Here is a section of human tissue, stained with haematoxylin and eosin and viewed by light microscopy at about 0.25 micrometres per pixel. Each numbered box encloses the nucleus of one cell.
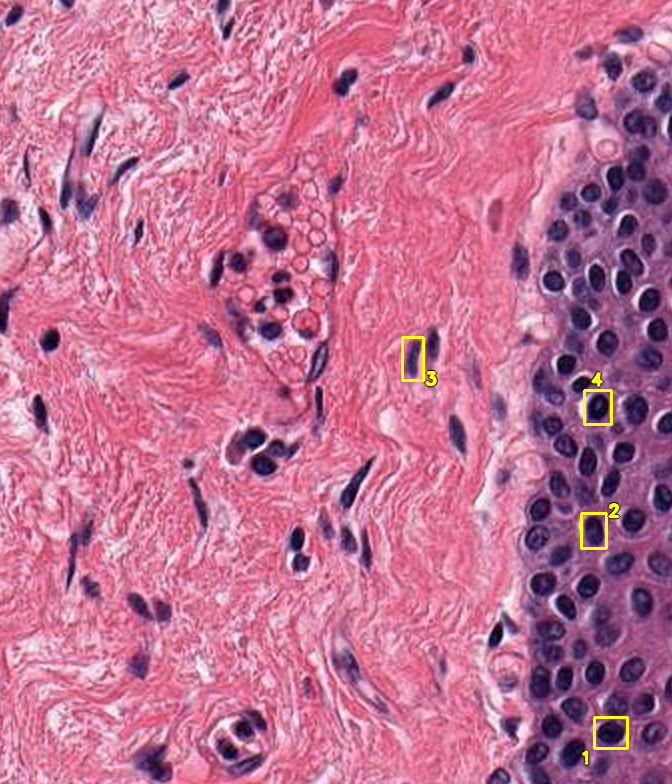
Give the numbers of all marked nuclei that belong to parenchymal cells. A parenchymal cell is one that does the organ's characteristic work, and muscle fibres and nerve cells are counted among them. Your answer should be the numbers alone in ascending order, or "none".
1, 2, 4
